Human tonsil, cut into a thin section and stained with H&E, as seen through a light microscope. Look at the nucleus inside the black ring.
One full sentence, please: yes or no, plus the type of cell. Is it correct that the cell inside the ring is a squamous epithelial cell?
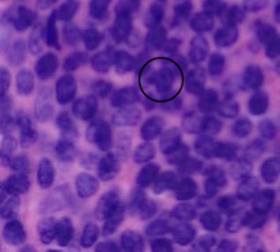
No, the cell inside the ring is a small lymphocyte rather than a squamous epithelial cell.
